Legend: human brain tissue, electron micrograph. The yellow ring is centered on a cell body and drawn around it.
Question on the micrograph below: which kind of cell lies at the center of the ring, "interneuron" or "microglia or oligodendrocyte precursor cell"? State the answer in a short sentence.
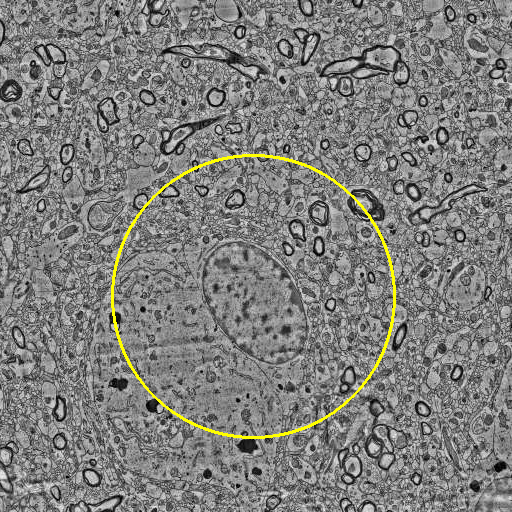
At the center of the ring lies a microglial cell or oligodendrocyte precursor cell.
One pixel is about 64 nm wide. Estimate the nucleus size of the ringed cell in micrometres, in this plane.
In this plane the nucleus is clearly longer than it is wide, at approximately 9 by 5 micrometres.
